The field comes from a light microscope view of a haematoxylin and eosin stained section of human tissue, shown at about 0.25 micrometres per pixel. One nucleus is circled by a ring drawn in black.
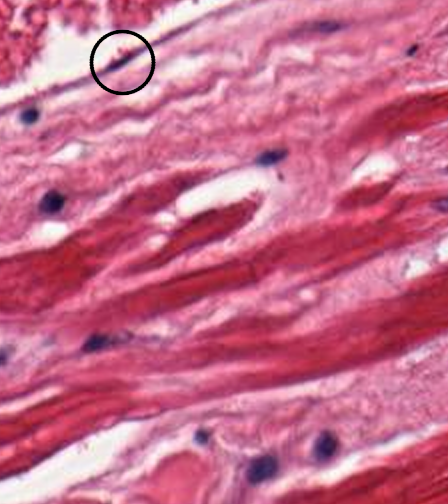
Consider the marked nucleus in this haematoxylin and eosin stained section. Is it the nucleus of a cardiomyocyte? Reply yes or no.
no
